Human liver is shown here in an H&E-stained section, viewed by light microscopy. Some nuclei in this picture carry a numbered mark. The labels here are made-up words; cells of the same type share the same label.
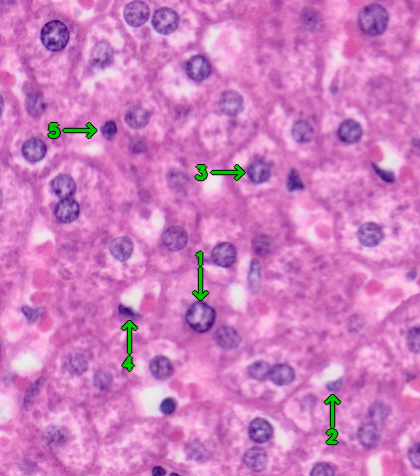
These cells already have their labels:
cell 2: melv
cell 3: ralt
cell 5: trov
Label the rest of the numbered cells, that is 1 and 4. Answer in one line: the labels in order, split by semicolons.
ralt; melv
